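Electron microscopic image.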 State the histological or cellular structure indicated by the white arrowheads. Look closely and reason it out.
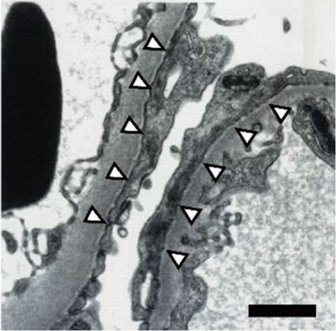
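Effaced foot processes. The arrowheads lie along the outer side of a capillary basement membrane. There the epithelial cytoplasm covers the membrane as a continuous flat sheet without separate small foot processes.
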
